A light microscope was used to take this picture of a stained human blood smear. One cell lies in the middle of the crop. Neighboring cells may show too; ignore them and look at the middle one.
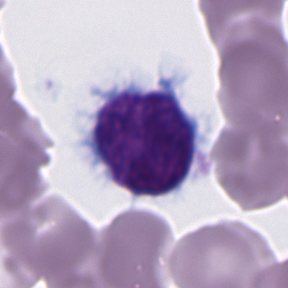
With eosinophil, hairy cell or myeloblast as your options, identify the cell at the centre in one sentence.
Here the cell in the middle is a hairy cell.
